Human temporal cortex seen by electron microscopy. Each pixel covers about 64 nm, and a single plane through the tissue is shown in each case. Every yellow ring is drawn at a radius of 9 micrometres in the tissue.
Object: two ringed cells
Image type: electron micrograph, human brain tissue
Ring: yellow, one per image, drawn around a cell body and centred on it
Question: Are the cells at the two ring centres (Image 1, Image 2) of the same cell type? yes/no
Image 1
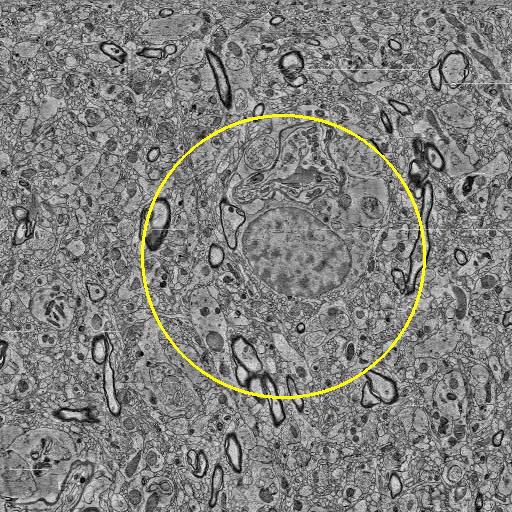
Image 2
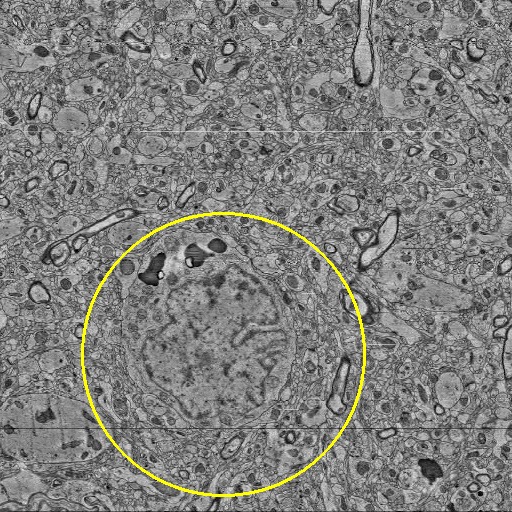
no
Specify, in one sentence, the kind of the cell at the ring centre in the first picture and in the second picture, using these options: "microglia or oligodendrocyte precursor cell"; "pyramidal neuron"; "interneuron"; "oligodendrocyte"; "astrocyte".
So the first is an oligodendrocyte, the second an interneuron.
